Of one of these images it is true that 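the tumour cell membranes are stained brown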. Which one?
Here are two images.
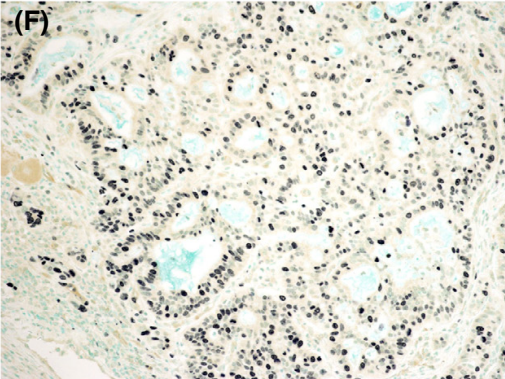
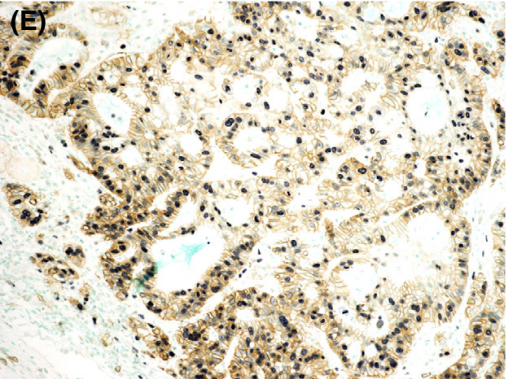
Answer: The second image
